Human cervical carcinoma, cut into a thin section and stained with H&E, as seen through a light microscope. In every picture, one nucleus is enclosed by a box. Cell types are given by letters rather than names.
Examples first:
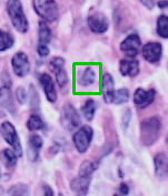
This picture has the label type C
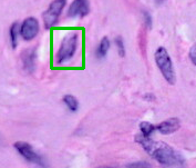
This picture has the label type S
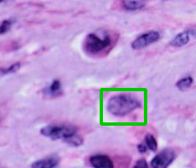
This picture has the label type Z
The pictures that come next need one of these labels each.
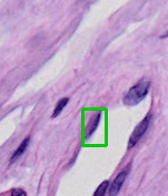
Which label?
type S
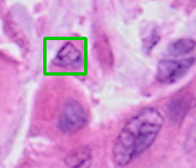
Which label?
type Z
